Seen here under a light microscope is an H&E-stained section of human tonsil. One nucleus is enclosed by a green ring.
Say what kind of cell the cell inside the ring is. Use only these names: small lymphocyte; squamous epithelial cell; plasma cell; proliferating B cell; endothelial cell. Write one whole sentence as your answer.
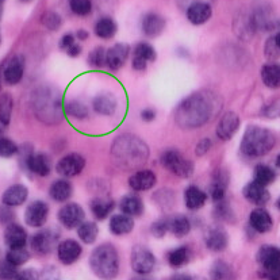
This is an endothelial cell.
